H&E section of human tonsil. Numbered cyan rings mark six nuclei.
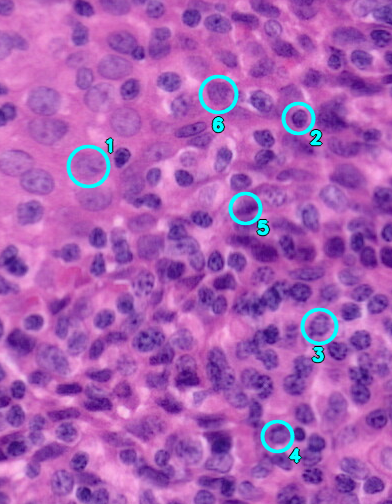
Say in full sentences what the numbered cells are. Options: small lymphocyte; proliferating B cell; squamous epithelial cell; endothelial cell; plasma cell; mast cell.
Cell 1 is a squamous epithelial cell, cell 2 is a squamous epithelial cell, cell 3 is a plasma cell, cell 4 is a plasma cell, cell 5 is a squamous epithelial cell and cell 6 is a squamous epithelial cell.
